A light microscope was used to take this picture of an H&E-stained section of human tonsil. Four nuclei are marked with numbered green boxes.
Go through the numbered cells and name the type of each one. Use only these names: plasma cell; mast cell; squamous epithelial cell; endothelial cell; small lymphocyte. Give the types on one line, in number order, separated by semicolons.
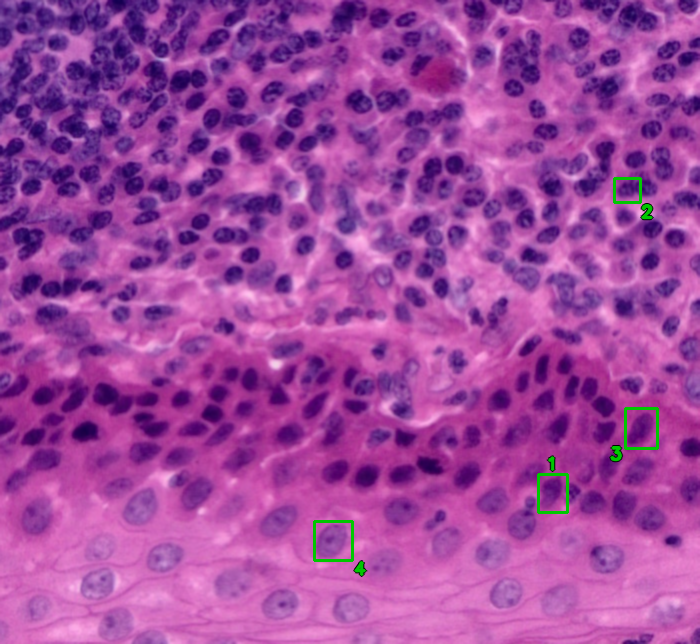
squamous epithelial cell; plasma cell; squamous epithelial cell; squamous epithelial cell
